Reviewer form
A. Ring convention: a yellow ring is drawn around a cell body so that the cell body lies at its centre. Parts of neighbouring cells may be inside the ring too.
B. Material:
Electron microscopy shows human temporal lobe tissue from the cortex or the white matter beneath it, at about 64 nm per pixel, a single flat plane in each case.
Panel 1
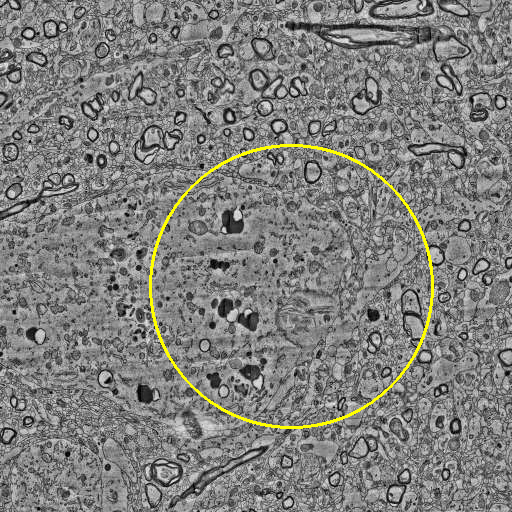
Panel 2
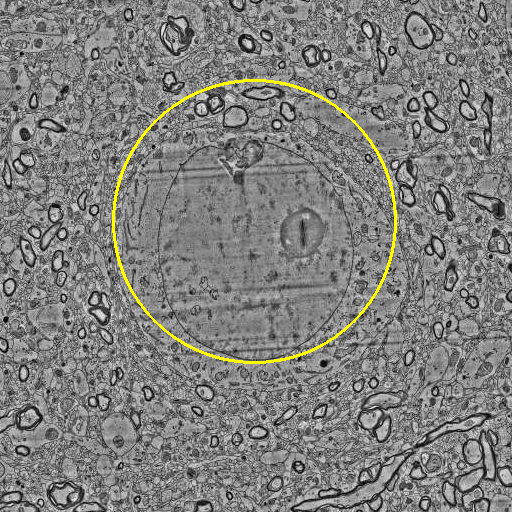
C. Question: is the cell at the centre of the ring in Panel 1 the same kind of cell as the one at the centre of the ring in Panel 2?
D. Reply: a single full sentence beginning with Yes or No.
No, the cells in Panel 1 and Panel 2 are two kinds of cell.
